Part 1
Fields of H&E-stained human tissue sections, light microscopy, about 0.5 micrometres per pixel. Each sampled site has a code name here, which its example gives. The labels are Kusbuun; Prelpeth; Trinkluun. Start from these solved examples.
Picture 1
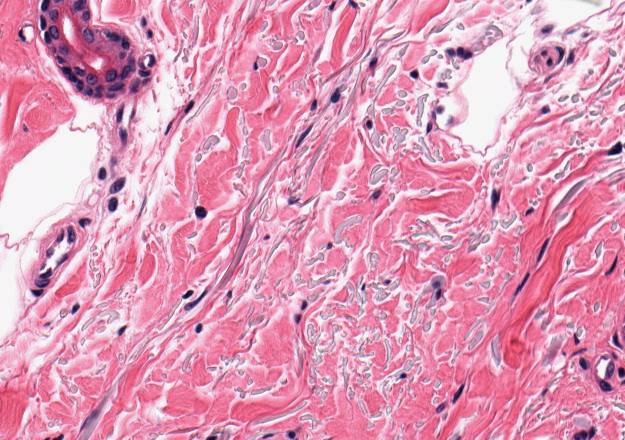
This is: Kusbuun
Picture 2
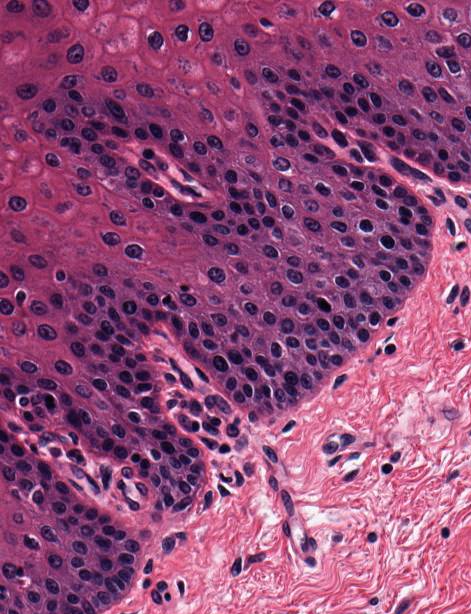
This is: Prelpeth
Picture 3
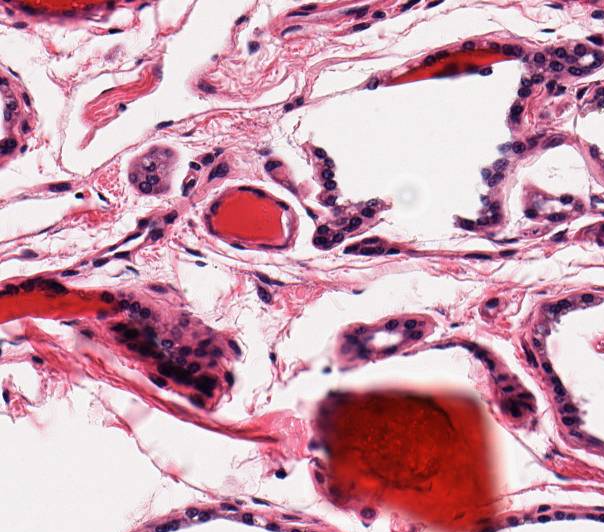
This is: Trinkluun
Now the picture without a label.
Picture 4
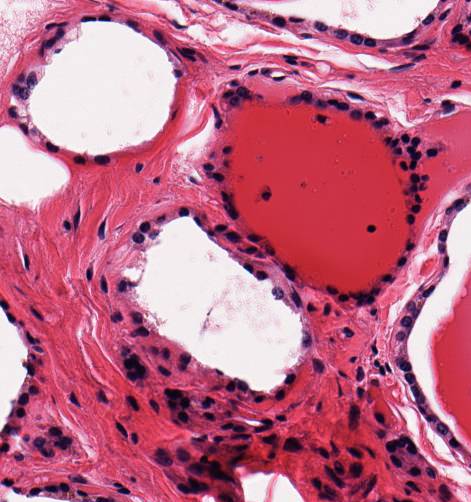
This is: Trinkluun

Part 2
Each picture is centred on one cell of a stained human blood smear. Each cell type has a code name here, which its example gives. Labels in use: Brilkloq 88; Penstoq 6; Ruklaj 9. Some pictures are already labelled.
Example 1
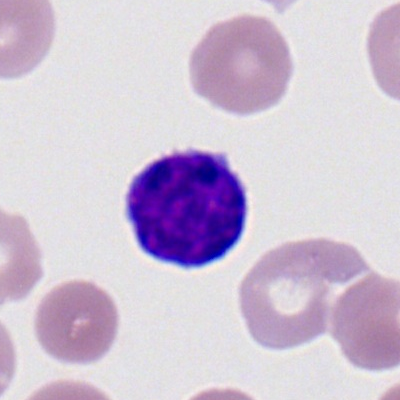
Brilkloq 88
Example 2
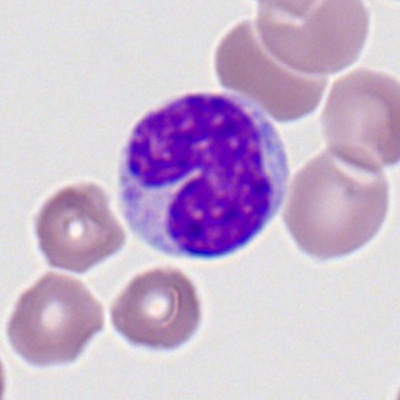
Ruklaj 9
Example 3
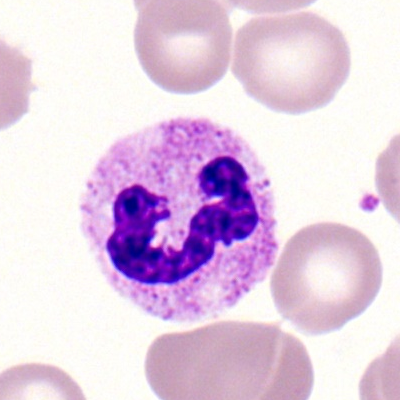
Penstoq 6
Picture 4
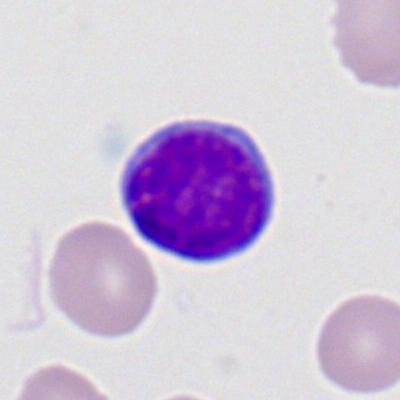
Brilkloq 88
